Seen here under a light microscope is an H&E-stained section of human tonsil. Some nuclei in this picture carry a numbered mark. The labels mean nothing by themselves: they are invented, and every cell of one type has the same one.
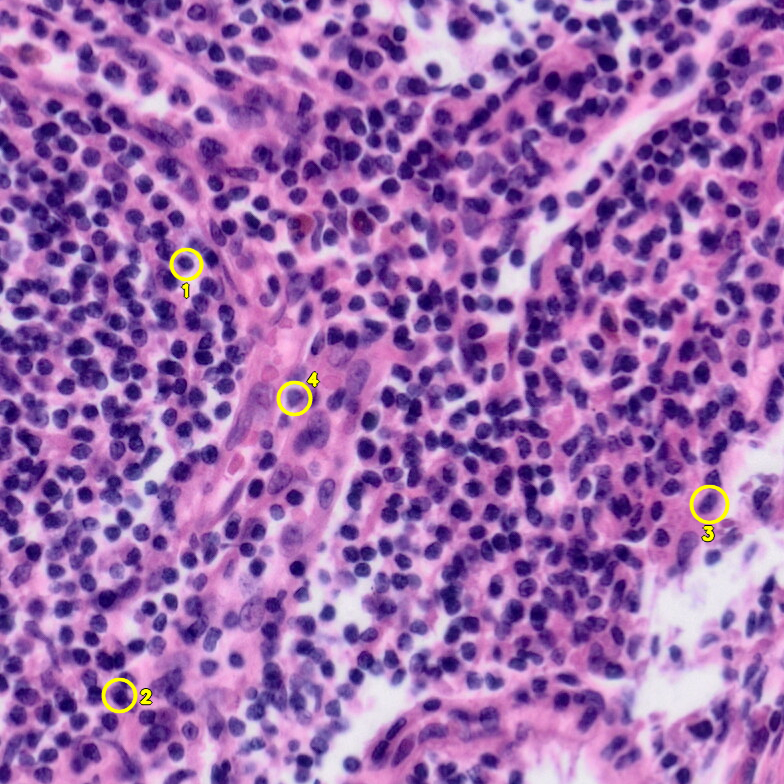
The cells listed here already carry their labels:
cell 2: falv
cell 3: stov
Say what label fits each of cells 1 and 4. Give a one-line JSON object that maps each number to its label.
{"1": "falv", "4": "stov"}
